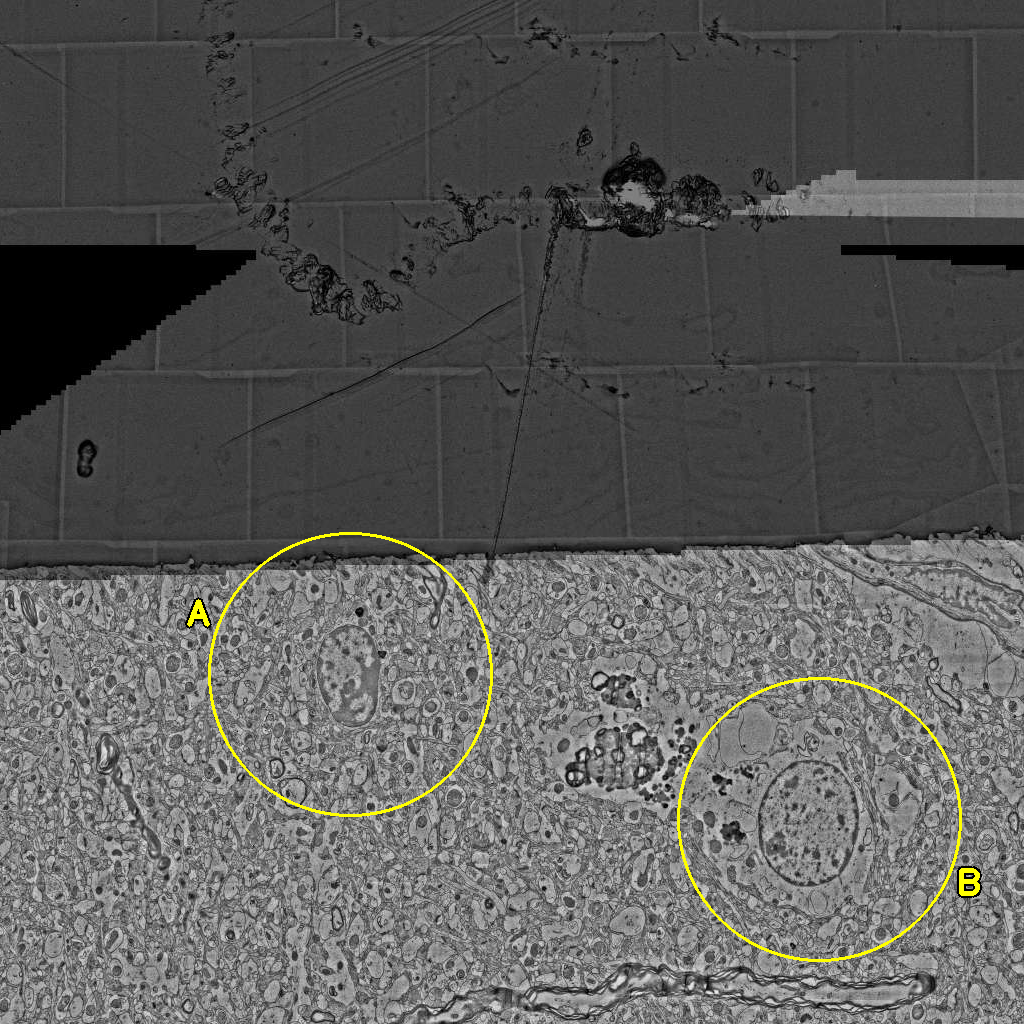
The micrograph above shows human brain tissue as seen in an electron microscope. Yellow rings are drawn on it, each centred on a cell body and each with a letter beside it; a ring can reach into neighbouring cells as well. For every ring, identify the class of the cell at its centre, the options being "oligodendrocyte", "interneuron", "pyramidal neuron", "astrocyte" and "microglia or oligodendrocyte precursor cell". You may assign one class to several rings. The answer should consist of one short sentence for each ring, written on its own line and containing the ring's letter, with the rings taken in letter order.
The ring lettered A is centred on a microglial cell or oligodendrocyte precursor cell.
The ring lettered B is centred on an astrocyte.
